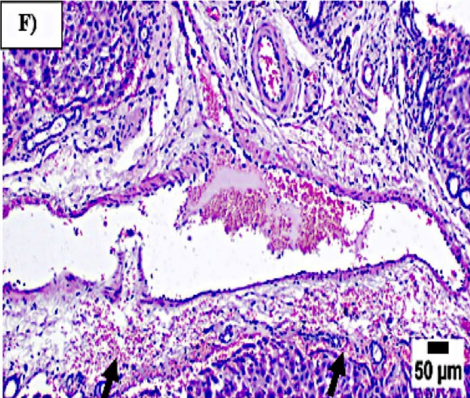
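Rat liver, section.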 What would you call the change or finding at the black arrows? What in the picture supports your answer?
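The arrows point to loose pale tissue filled with scattered red blood cells. Clusters of extravasated red cells lie outside vessels.
Answer: edema and hemorrhage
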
